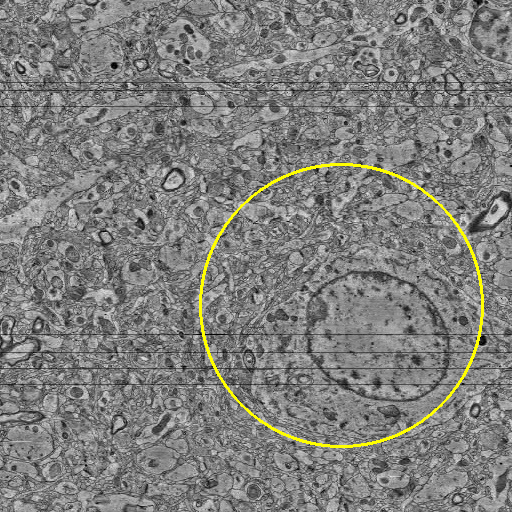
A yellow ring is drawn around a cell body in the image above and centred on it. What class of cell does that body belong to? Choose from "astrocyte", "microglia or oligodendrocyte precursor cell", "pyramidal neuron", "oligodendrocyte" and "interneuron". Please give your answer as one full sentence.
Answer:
The yellow ring above is centred on the cell body of an oligodendrocyte.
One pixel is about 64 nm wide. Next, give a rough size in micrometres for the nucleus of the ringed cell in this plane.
Approximately 10 by 8 micrometers in this plane.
